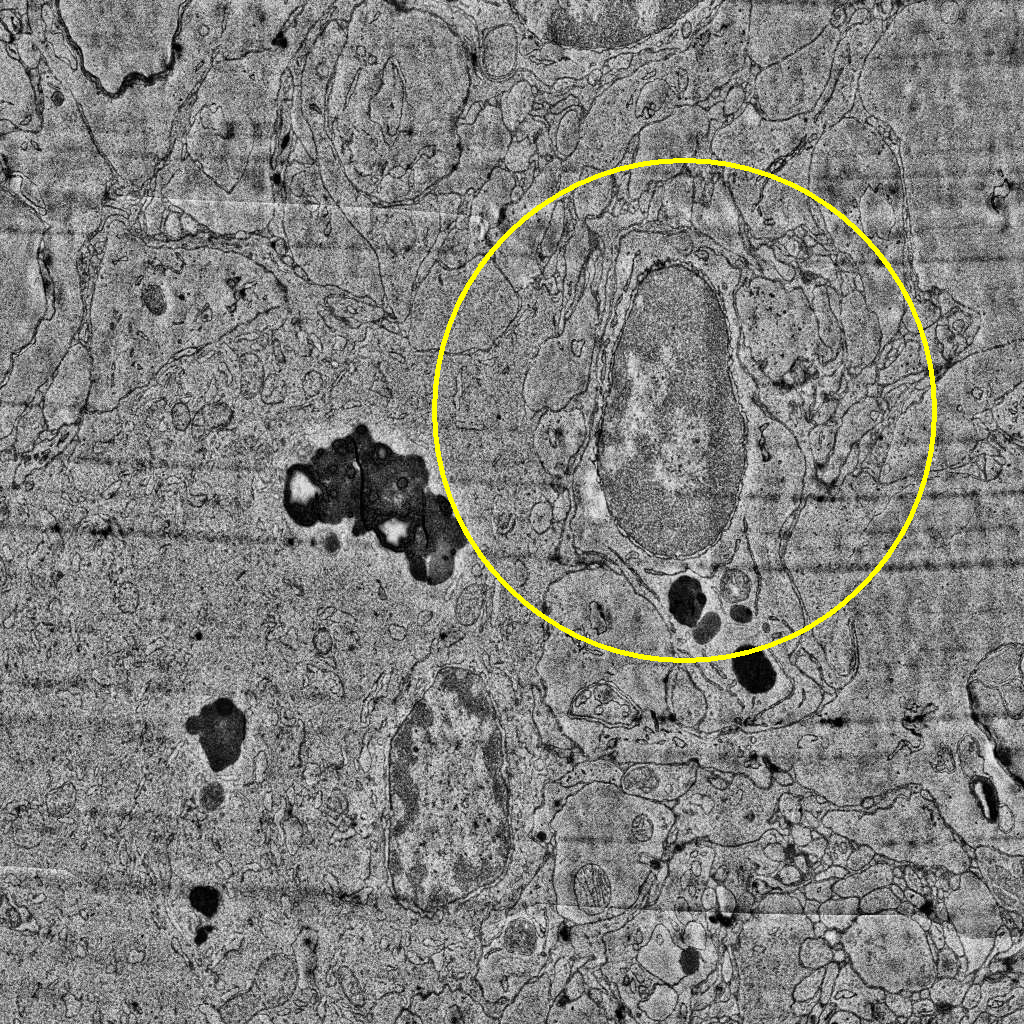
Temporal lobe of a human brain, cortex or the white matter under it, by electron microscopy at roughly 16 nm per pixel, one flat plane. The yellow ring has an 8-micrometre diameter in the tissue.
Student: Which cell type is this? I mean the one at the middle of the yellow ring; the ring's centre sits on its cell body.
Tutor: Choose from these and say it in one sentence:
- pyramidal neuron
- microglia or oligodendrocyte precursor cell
The cell at the ring's centre is a microglial cell or oligodendrocyte precursor cell.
